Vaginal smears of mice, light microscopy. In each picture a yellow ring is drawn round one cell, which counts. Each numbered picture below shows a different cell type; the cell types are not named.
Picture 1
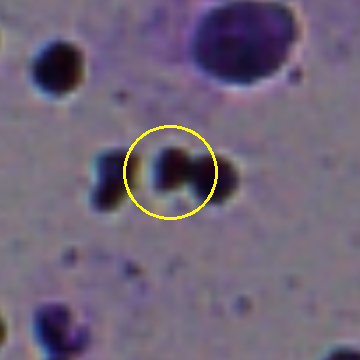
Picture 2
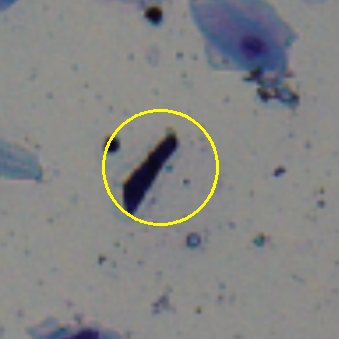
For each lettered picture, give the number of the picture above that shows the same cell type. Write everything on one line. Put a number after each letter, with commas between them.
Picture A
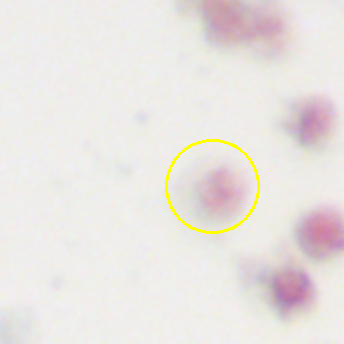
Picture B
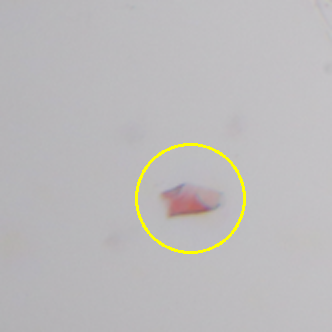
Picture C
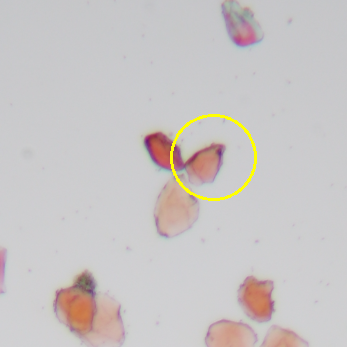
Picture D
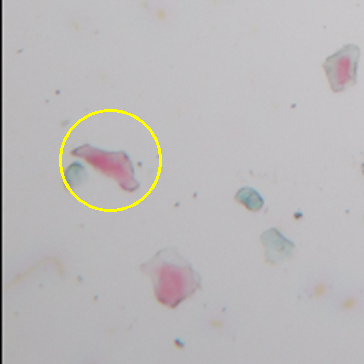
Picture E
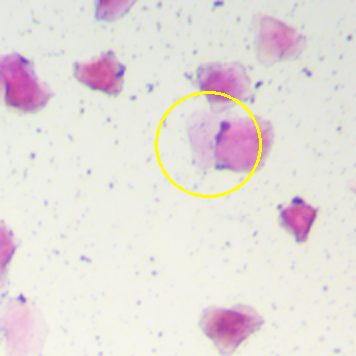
A 1, B 2, C 2, D 2, E 2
